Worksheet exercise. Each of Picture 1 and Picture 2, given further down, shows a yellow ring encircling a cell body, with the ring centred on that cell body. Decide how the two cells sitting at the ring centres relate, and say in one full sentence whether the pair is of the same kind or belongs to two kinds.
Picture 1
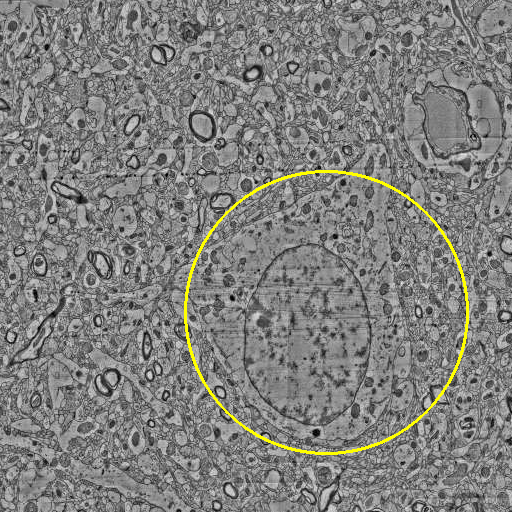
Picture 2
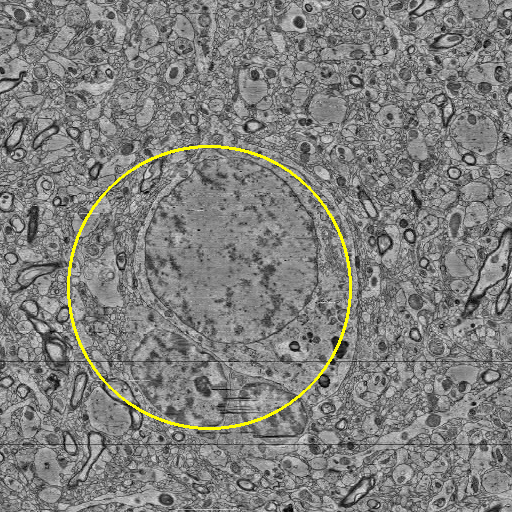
The cells at the ring centres in Picture 1 and Picture 2 are of the same kind.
